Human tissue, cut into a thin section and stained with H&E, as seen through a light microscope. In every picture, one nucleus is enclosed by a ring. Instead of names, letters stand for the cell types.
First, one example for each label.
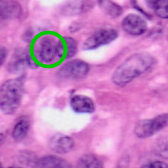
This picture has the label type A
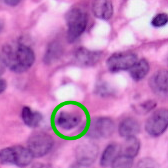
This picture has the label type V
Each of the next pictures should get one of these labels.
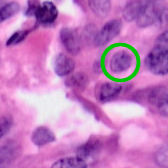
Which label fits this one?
type V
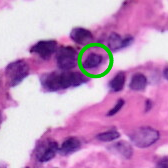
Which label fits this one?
type V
